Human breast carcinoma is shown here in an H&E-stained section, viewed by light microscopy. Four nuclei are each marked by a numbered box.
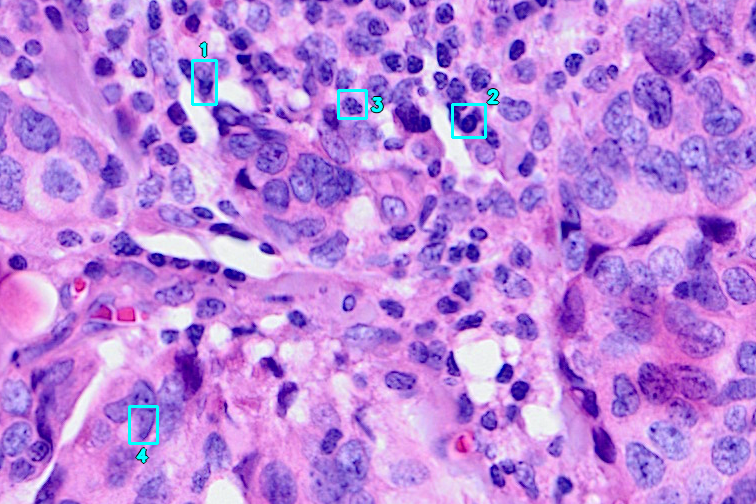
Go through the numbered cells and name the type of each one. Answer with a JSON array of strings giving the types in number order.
["lymphocyte", "lymphocyte", "lymphocyte", "carcinoma cell"]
